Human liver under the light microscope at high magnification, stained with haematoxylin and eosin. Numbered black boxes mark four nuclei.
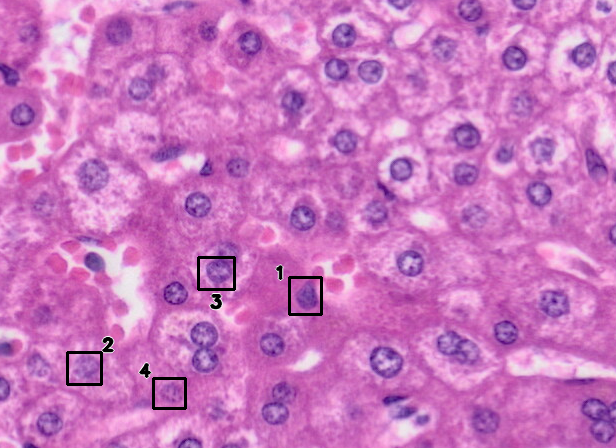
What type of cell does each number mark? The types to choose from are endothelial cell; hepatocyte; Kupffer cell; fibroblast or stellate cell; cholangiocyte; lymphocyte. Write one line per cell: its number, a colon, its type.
1: fibroblast or stellate cell
2: hepatocyte
3: hepatocyte
4: hepatocyte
